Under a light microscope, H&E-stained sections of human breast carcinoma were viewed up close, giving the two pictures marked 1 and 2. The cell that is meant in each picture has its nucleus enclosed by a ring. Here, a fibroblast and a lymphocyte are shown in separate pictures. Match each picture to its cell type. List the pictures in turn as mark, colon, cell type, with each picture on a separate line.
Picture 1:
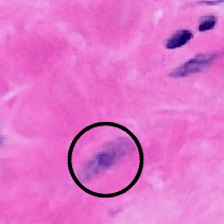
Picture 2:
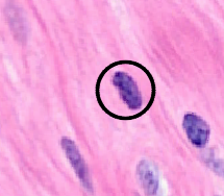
1: fibroblast
2: lymphocyte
